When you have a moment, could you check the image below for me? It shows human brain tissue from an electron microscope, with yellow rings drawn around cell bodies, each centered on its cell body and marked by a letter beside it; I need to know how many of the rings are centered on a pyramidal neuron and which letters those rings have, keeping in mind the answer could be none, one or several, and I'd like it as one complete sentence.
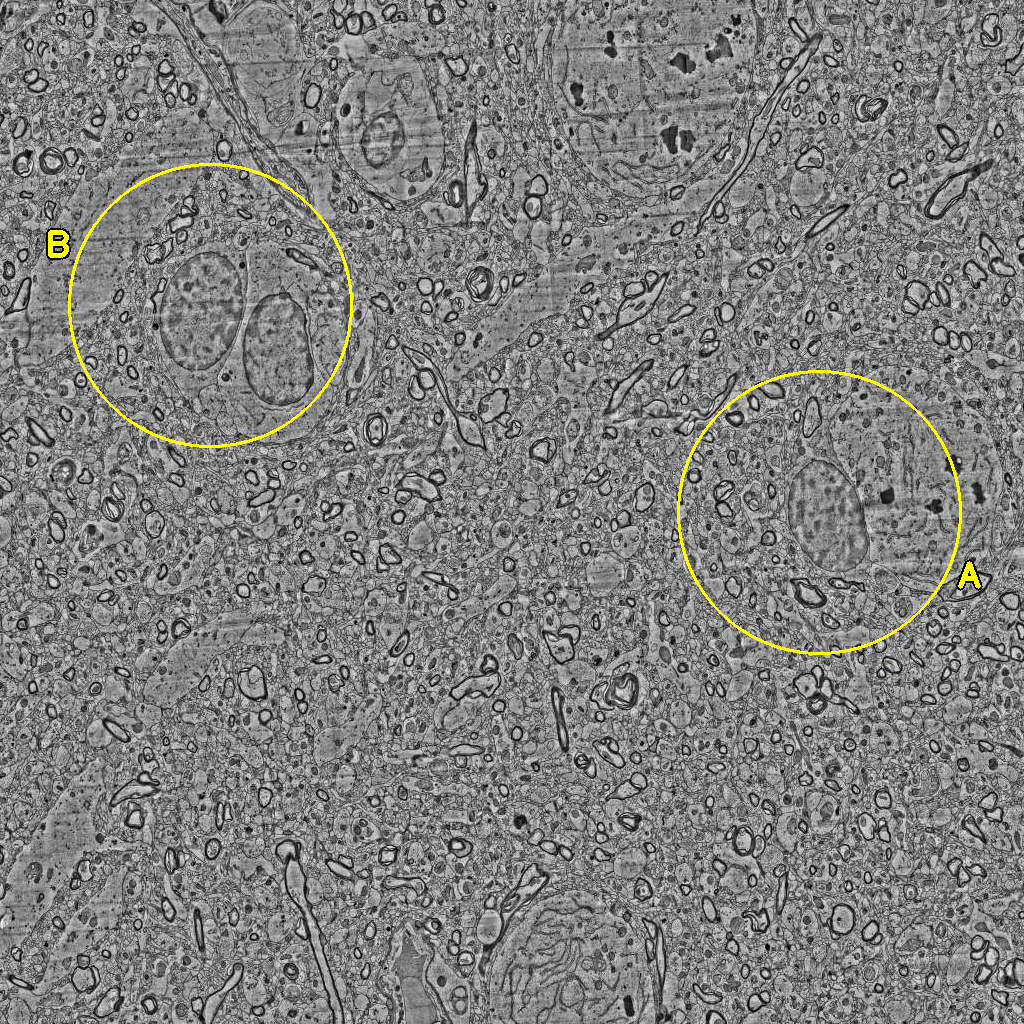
The lettered rings, all of them, fail to be centred on a pyramidal neuron, so the count is zero.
